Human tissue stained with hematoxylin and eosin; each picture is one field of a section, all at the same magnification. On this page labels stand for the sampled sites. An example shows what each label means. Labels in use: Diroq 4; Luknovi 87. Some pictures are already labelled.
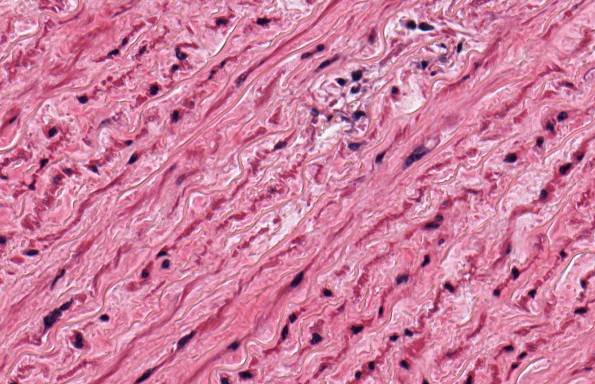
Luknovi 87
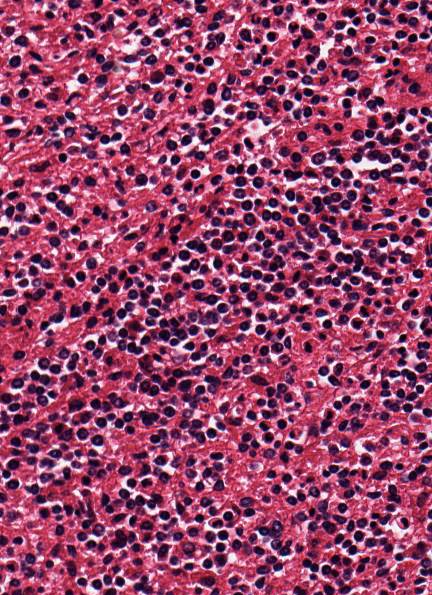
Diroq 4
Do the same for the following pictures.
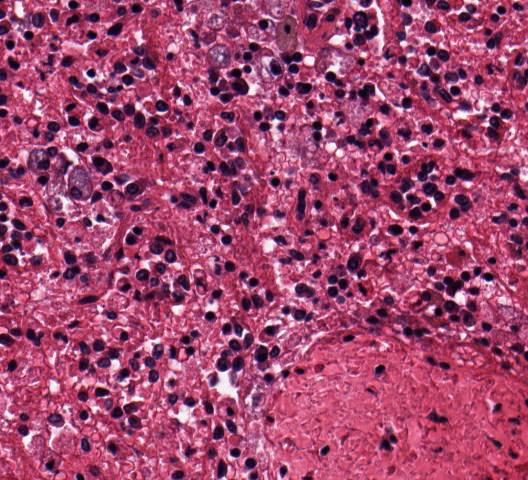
Diroq 4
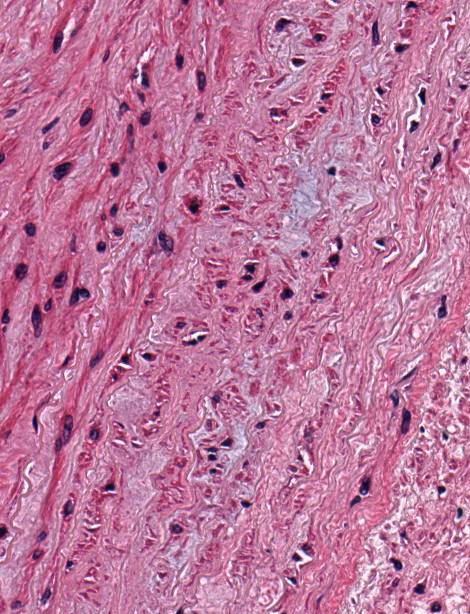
Luknovi 87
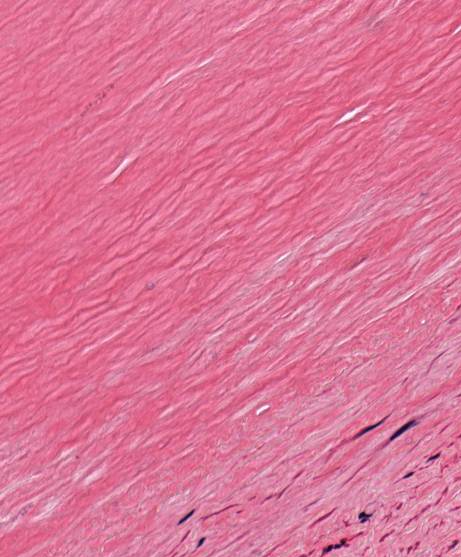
Luknovi 87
